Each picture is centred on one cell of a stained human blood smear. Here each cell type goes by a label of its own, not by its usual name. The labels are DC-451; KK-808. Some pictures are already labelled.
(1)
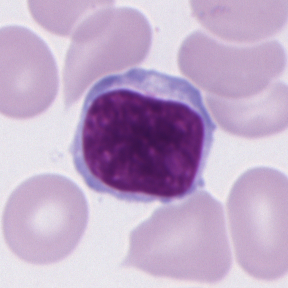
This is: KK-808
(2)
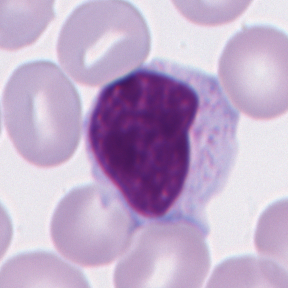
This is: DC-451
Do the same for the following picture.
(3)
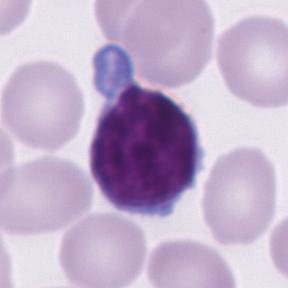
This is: KK-808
